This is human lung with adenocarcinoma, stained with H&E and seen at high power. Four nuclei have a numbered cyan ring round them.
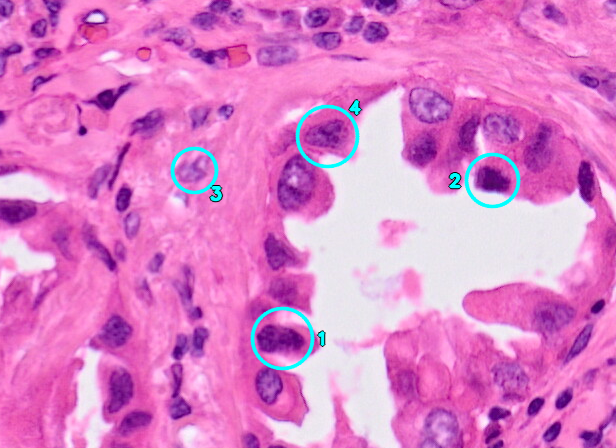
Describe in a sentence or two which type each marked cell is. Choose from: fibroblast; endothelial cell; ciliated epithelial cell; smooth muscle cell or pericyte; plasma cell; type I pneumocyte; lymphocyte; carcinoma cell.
Cell 1 is a carcinoma cell, cell 2 is a carcinoma cell, cell 3 is a fibroblast and cell 4 is a carcinoma cell.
